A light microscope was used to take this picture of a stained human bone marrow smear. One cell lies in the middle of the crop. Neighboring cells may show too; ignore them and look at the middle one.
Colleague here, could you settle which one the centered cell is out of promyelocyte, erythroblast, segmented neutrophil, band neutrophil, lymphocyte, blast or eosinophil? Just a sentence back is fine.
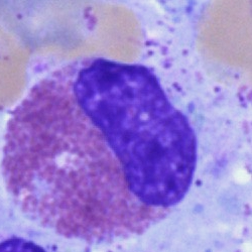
At the center of the crop sits an eosinophil.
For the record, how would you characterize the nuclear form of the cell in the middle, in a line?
See how the nucleus sits as one compact round, oval or kidney-shaped mass.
